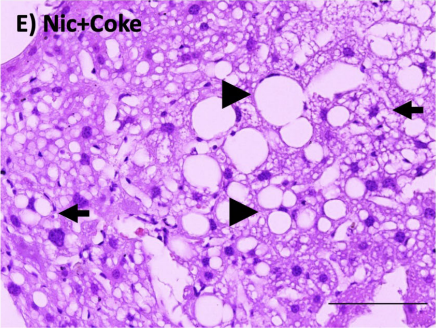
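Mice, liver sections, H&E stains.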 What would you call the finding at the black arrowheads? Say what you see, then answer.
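Hepatocyte with cytoplasmic macrovesicles. The arrowheads point to large round empty vacuoles. The vacuoles are several times the size of a nucleus.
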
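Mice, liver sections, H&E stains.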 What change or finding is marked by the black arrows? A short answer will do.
hepatocyte with cytoplasmic microvesicles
